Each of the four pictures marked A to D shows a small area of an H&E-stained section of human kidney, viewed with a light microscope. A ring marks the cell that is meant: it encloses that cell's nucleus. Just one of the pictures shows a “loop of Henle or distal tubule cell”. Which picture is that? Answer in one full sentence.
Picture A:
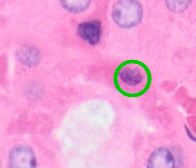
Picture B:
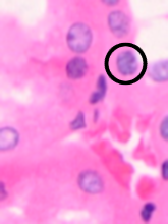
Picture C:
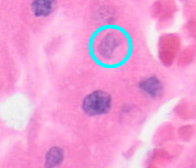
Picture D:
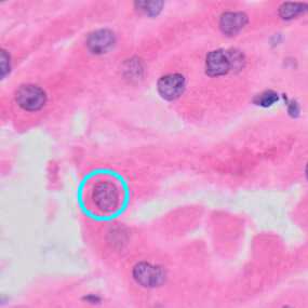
The “loop of Henle or distal tubule cell” is the one in picture B.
